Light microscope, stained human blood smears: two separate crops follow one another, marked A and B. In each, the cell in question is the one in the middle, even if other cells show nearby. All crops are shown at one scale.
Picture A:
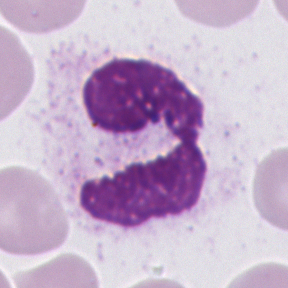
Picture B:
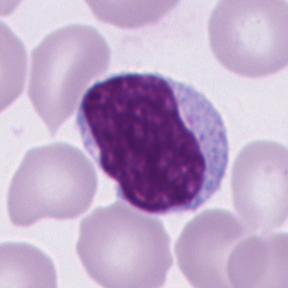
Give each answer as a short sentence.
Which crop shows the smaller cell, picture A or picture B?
Picture B holds the smaller cell, since the cell in picture A covers about 1.5 times as much area.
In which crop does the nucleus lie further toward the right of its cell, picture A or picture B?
In picture A the nucleus is shifted more toward the right.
